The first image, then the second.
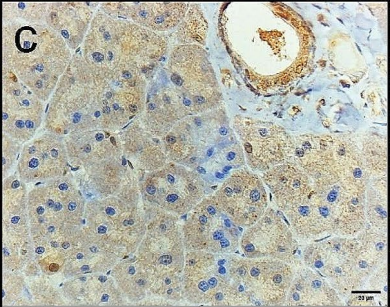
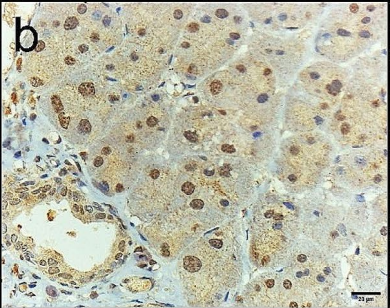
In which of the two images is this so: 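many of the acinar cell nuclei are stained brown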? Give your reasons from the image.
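The second image. First image: most acinar nuclei are blue, with only an occasional brown one. Second image: numerous acinar nuclei are dark brown within brownish cytoplasm.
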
